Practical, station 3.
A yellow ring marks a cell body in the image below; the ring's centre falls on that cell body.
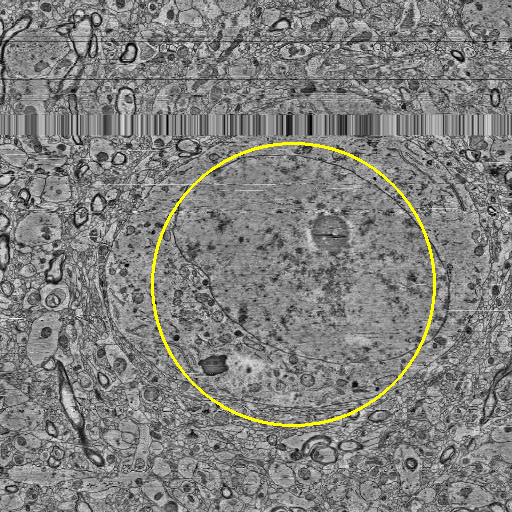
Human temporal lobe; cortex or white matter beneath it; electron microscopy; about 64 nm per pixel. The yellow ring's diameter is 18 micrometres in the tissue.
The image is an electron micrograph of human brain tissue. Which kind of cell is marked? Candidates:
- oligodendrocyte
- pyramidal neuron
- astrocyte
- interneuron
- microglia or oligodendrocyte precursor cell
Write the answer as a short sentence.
The marked cell body is that of a pyramidal neuron.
